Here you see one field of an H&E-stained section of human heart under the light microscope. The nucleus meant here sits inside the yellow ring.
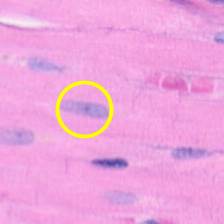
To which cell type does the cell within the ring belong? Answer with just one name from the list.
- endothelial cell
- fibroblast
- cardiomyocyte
cardiomyocyte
